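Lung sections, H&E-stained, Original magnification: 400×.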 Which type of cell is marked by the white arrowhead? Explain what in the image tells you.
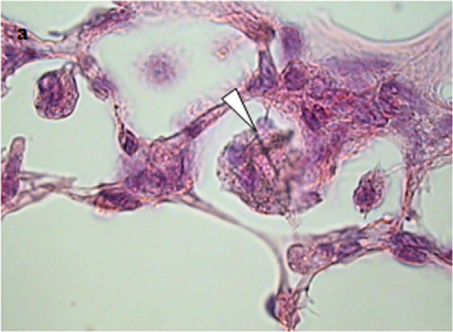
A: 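The cell holds more than one dark purple nuclear mass. Dark thin straight fibres cross the cell's cytoplasm. On this evidence: Multinucleated giant cells.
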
